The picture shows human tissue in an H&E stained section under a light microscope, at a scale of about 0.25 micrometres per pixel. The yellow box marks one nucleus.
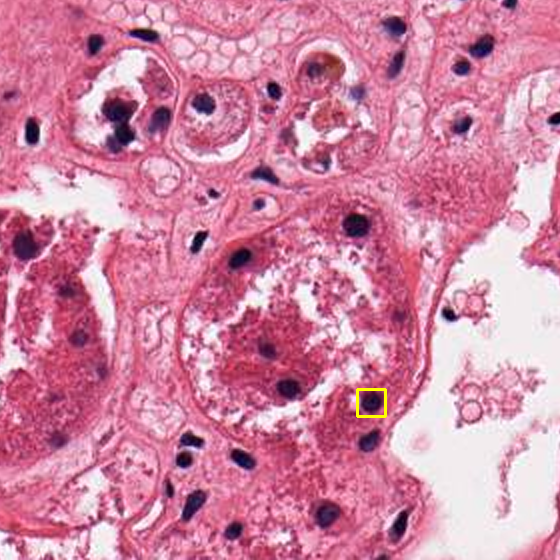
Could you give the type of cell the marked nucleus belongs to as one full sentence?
In this image, the nucleus that is marked belongs to a proximal tubule cell.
